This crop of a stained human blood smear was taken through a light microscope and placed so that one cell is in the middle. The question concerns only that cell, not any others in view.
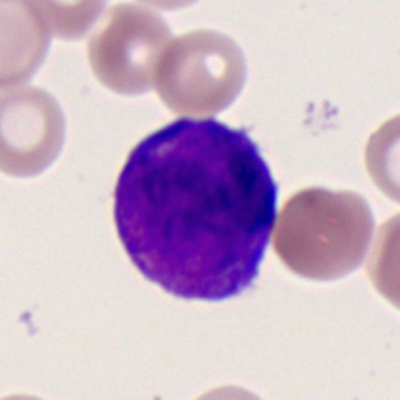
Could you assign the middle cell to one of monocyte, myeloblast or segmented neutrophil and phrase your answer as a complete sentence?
This particular crop is centered on a myeloblast.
